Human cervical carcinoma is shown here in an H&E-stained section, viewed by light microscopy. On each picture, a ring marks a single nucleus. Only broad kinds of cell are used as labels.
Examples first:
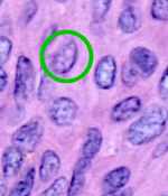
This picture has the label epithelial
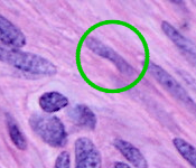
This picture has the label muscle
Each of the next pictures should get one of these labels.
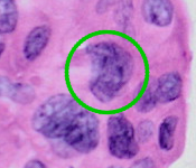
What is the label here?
epithelial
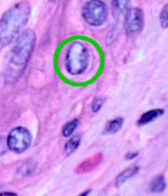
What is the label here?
muscle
